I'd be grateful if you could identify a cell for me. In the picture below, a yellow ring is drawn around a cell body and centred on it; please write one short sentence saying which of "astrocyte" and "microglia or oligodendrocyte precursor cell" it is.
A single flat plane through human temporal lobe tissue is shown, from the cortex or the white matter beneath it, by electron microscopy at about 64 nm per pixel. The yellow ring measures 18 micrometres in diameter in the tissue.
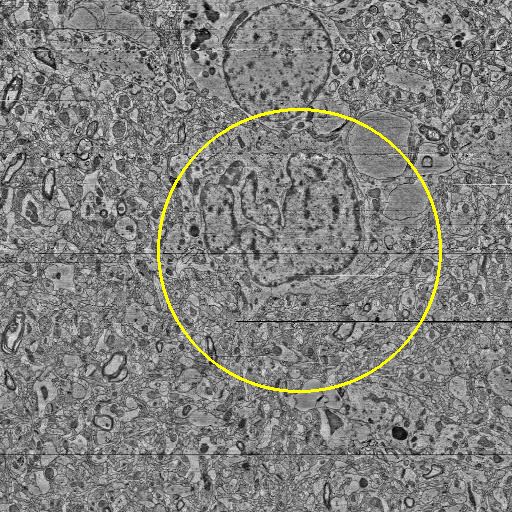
The cell under the ring's centre is a microglial cell or oligodendrocyte precursor cell.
